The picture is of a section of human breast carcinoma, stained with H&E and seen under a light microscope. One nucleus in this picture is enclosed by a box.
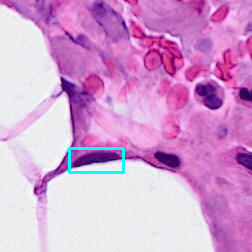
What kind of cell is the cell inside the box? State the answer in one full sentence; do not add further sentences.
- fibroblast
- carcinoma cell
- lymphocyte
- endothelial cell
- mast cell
Just put down that the cell inside the box is an endothelial cell.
